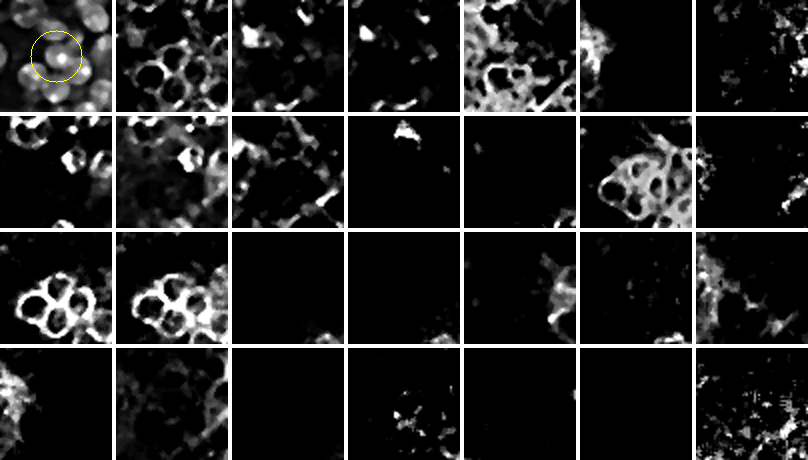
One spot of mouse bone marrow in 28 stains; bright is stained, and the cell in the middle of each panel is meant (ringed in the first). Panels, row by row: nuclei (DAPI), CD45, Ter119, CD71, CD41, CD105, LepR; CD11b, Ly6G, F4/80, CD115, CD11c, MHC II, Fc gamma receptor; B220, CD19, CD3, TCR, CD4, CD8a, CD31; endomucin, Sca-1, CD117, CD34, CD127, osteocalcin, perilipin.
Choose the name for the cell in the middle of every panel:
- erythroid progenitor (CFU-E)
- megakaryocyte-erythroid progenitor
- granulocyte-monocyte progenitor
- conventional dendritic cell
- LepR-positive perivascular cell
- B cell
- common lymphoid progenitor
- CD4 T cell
B cell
